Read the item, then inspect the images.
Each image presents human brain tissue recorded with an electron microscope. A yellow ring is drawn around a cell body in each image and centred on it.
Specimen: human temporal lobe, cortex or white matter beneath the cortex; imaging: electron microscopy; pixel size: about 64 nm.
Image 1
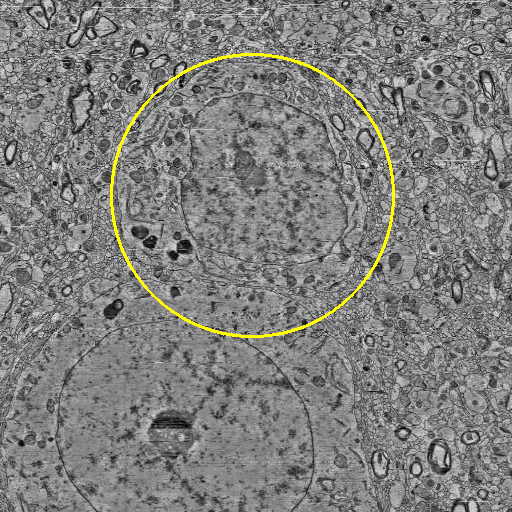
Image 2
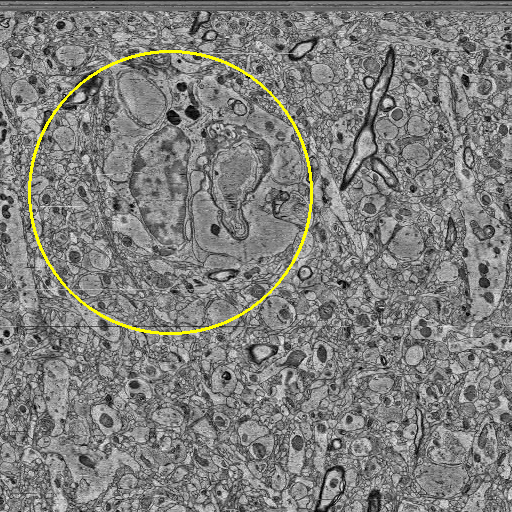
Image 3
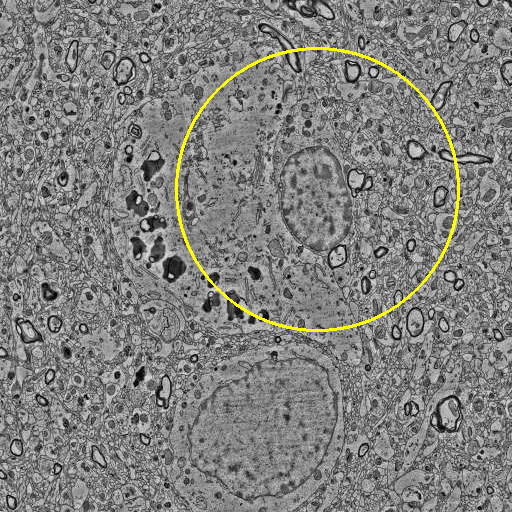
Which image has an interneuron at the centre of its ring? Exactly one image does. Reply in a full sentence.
The ring in Image 1 is centred on it.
